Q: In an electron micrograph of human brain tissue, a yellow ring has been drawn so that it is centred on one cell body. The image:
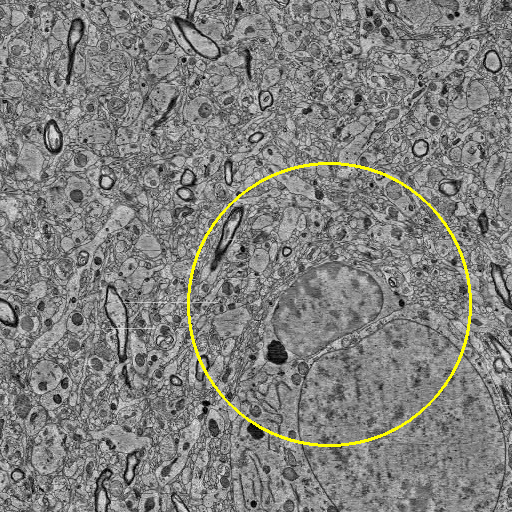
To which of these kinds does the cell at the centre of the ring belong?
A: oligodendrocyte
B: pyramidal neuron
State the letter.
A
